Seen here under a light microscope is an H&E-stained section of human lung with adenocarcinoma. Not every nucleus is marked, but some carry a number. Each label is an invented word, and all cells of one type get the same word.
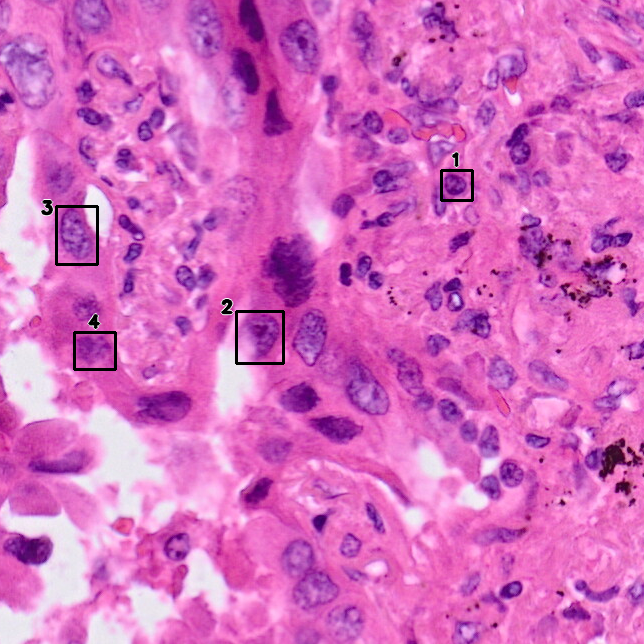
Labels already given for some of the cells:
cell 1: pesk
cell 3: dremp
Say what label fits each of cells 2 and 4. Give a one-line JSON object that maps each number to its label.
{"2": "dremp", "4": "dremp"}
